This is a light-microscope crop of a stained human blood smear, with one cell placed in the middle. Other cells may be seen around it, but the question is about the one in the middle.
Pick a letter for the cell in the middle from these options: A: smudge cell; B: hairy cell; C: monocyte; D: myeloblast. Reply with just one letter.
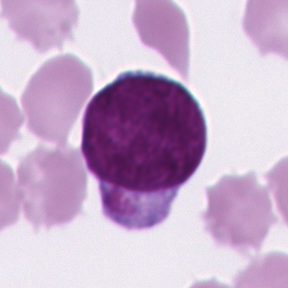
D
